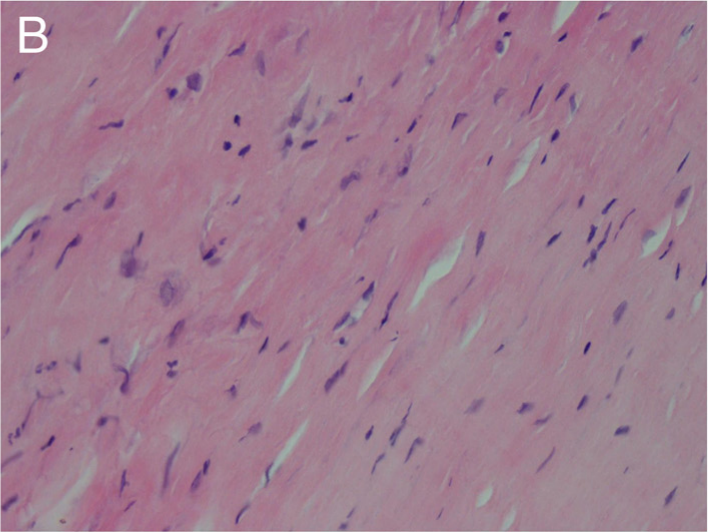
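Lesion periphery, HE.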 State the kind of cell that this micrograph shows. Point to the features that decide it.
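Scattered elongated, tapered dark nuclei. Cells lie sparsely within pink fibrillar matrix. The answer: spindled fibroblasts.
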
